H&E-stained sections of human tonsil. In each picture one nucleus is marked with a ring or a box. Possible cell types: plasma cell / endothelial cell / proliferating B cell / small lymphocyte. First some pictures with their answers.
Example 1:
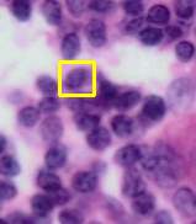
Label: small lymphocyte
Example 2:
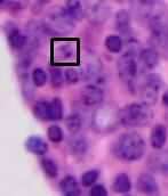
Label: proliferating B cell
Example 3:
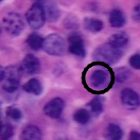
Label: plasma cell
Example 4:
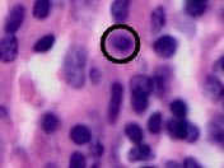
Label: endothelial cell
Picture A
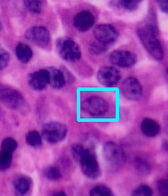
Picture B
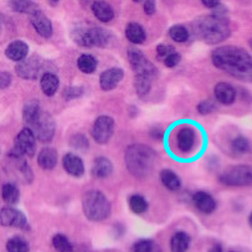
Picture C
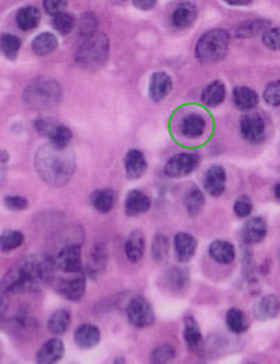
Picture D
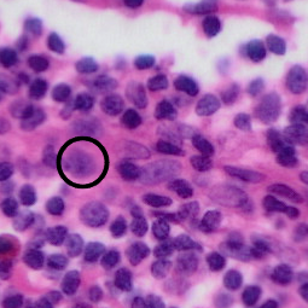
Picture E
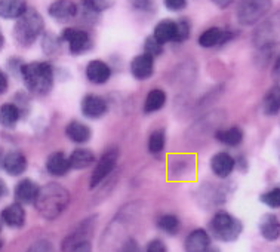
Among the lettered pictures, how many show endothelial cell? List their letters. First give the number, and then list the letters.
2: D, E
